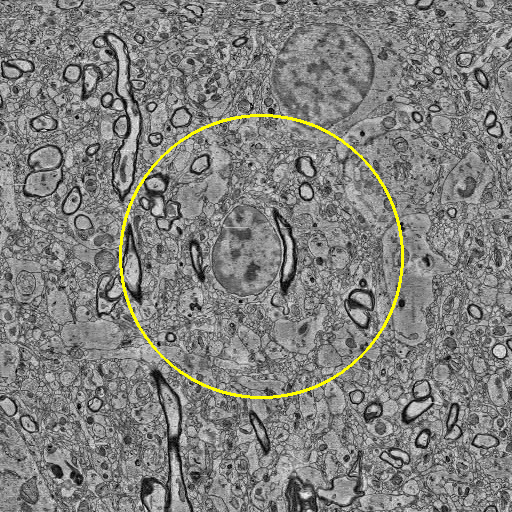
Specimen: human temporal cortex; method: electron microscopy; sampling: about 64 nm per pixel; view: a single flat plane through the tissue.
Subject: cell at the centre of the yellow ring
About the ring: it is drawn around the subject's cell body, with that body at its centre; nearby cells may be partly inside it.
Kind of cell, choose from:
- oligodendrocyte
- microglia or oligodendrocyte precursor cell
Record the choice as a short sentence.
The subject cell is a microglial cell or oligodendrocyte precursor cell.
